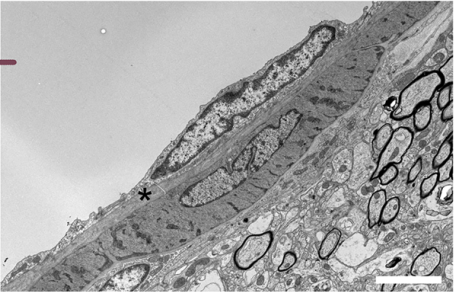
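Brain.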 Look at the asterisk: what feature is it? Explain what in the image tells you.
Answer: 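Basement membrane. The band lies between two flattened cell layers that each contain an elongated nucleus.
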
